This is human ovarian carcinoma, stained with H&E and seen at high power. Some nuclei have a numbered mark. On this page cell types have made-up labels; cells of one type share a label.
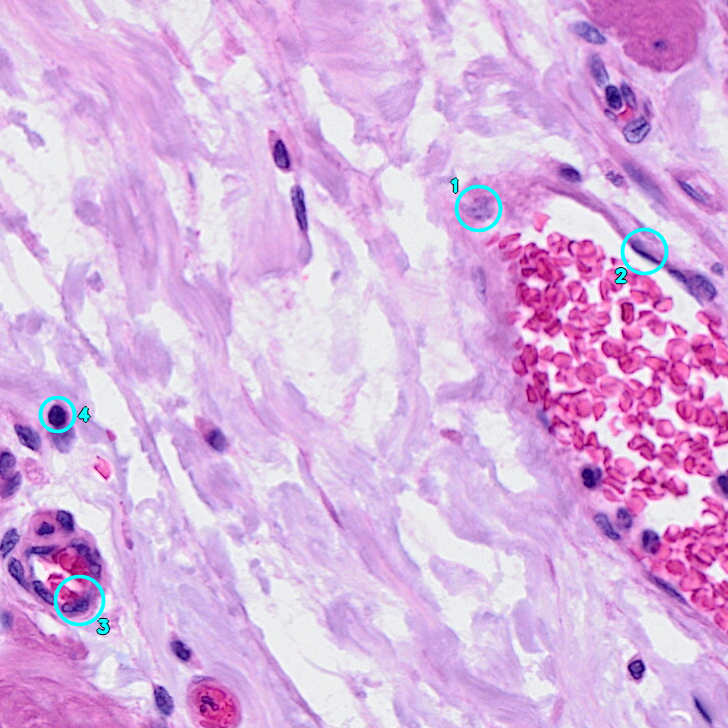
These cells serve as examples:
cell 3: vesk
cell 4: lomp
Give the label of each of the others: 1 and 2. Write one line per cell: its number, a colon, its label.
1: vesk
2: vesk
